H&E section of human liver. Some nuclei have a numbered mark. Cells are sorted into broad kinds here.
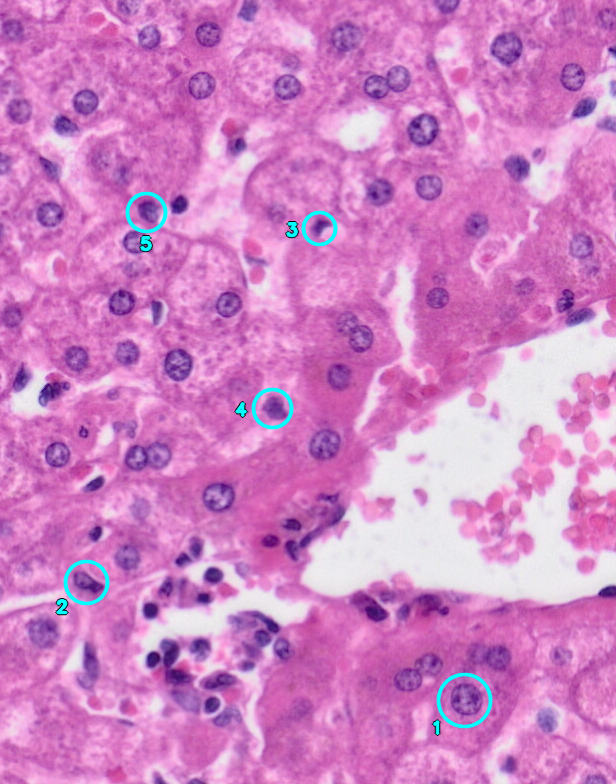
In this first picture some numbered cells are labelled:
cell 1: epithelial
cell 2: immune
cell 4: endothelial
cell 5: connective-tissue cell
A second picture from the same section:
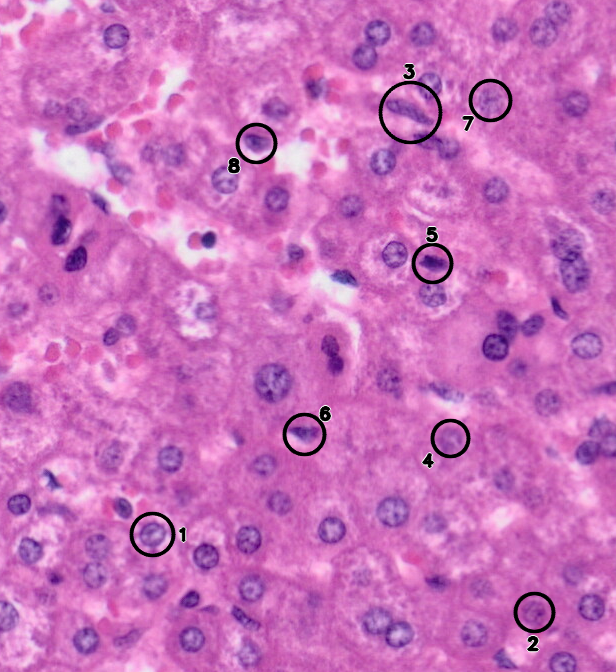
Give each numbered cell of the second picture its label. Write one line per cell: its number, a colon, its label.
1: epithelial
2: epithelial
3: immune
4: epithelial
5: connective-tissue cell
6: endothelial
7: epithelial
8: immune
